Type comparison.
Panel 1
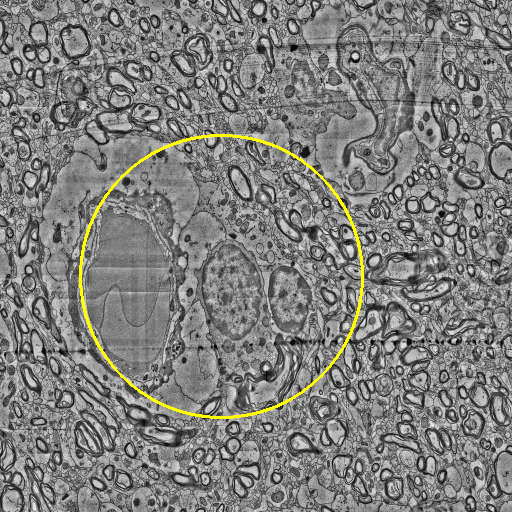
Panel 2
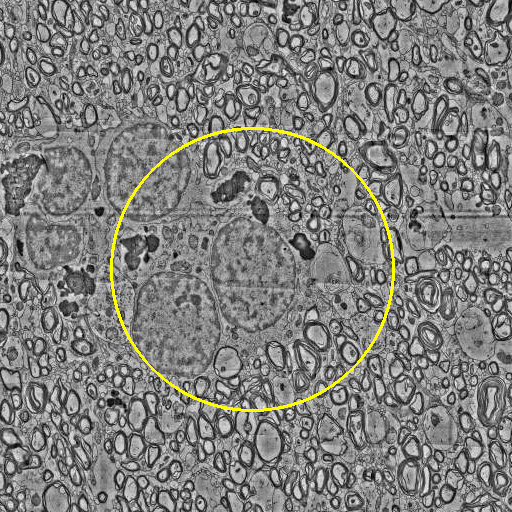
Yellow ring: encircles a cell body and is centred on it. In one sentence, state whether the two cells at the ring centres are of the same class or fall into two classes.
In these panels, the two cells at the ring centres are of the same class.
